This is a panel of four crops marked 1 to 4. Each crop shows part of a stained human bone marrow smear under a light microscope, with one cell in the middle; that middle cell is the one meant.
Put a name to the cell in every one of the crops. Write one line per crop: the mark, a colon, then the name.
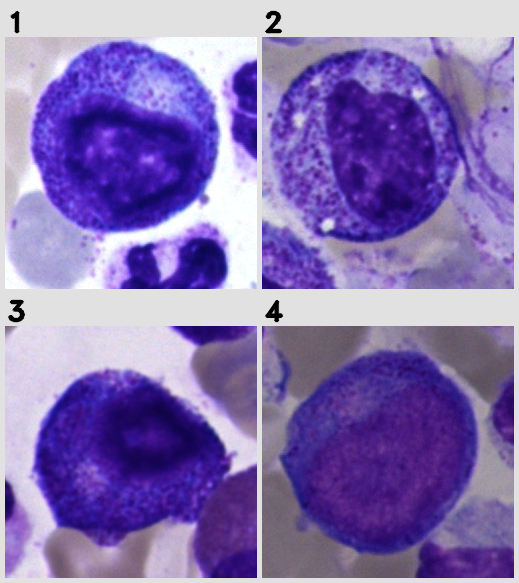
1: promyelocyte
2: promyelocyte
3: promyelocyte
4: proerythroblast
